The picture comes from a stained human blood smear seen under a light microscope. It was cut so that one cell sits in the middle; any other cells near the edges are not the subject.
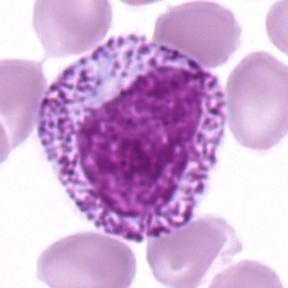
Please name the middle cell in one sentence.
The cell in the middle of this crop is a myelocyte.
